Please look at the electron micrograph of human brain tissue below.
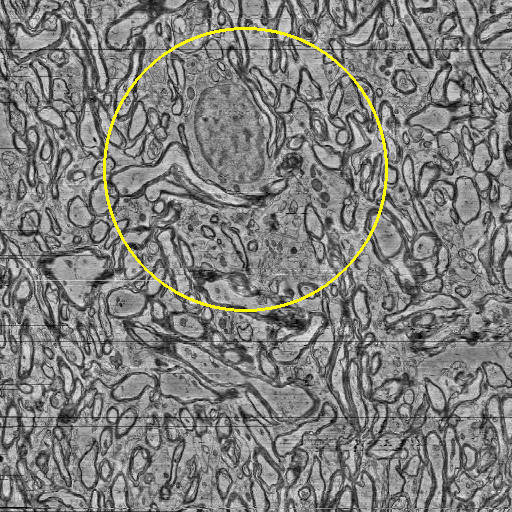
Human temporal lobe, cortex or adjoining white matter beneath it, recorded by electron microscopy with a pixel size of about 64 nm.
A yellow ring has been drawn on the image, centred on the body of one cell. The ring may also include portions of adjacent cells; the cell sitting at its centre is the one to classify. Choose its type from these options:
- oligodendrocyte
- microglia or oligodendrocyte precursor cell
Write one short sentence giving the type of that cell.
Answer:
The cell in the middle of the ring is an oligodendrocyte.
